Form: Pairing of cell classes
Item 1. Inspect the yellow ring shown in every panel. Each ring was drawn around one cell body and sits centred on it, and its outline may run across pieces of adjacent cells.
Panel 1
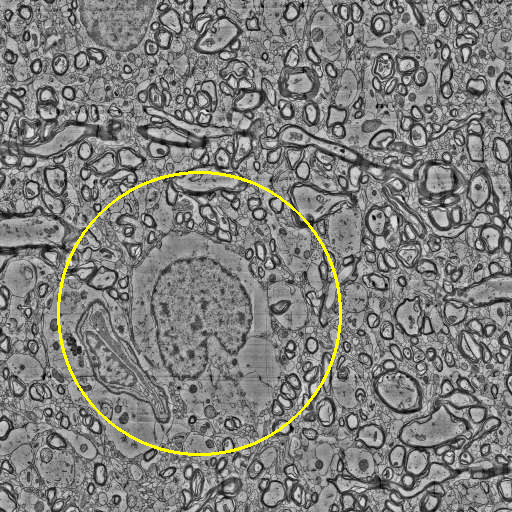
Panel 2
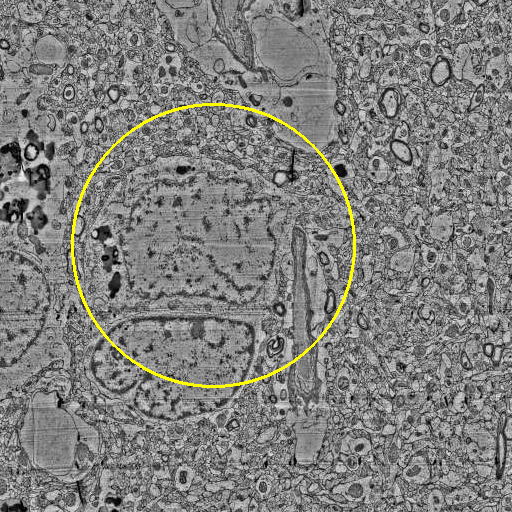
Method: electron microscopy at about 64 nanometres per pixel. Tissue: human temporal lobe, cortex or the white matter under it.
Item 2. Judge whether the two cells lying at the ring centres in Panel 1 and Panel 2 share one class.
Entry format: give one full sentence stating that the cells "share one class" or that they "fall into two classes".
The cells at the ring centres in Panel 1 and Panel 2 fall into two classes.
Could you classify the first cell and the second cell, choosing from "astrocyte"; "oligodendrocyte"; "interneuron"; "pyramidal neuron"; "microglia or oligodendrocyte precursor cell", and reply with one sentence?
The second cell is an interneuron, while the first is an astrocyte.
